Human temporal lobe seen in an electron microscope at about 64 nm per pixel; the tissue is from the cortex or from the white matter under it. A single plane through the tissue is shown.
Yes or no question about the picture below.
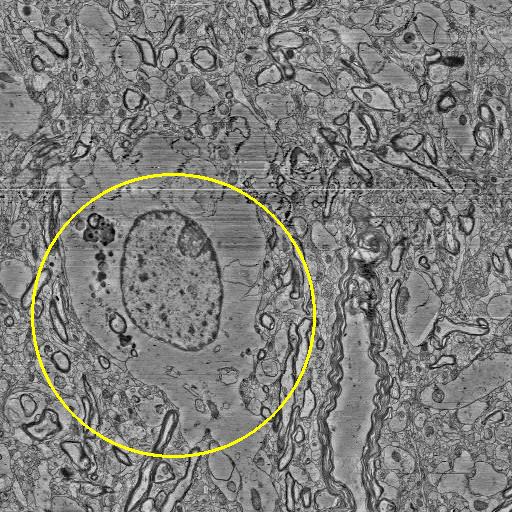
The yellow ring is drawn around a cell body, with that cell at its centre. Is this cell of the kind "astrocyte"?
yes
